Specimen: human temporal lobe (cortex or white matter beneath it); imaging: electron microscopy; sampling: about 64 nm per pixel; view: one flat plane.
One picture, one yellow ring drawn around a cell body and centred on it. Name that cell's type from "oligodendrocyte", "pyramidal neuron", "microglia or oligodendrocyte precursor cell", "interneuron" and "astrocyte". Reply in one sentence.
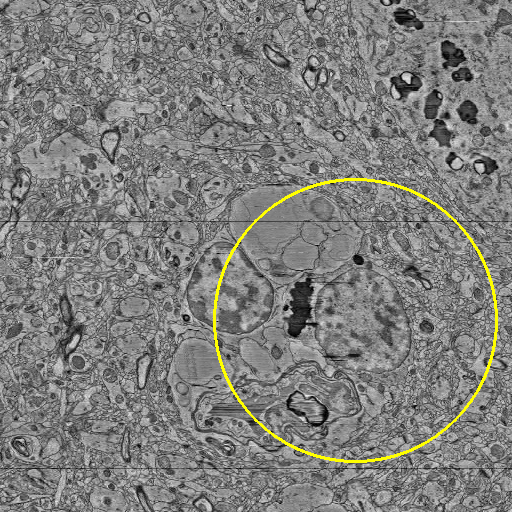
Centred in the ring is an oligodendrocyte.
